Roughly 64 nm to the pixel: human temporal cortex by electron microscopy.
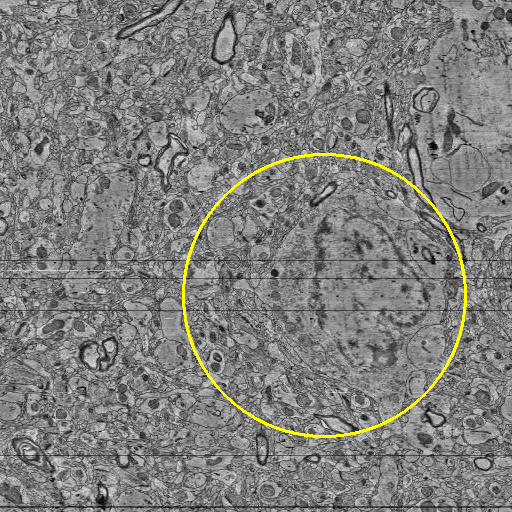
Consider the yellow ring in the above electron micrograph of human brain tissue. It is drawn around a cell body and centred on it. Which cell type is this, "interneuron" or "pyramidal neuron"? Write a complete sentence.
The cell in question is an interneuron.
